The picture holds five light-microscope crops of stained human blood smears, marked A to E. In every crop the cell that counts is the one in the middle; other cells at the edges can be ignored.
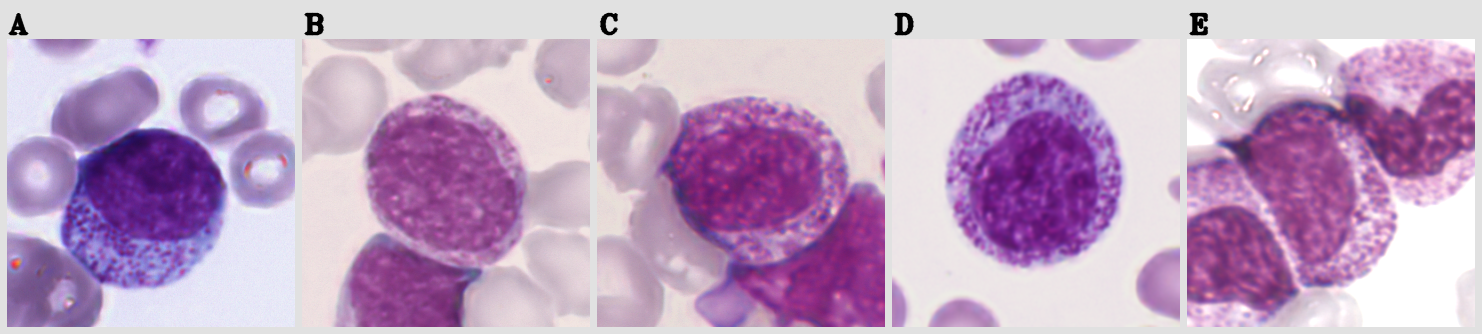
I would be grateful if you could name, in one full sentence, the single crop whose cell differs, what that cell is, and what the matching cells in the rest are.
The different crop is A; it is a promyelocyte, and the others all show myelocytes.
